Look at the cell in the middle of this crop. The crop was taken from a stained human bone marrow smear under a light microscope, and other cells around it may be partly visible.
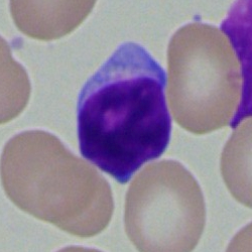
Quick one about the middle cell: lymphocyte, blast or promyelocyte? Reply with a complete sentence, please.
The cell in the exact centre of the crop is a lymphocyte.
